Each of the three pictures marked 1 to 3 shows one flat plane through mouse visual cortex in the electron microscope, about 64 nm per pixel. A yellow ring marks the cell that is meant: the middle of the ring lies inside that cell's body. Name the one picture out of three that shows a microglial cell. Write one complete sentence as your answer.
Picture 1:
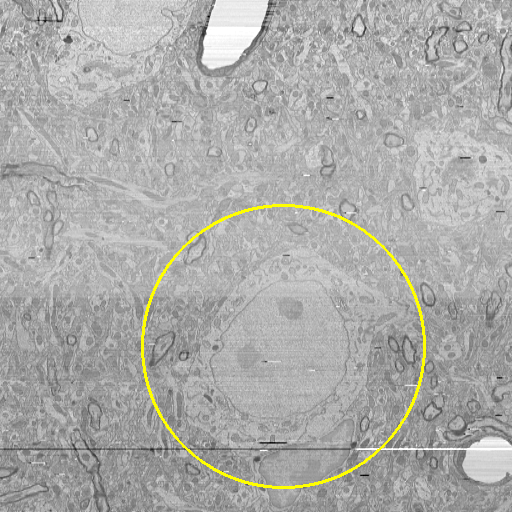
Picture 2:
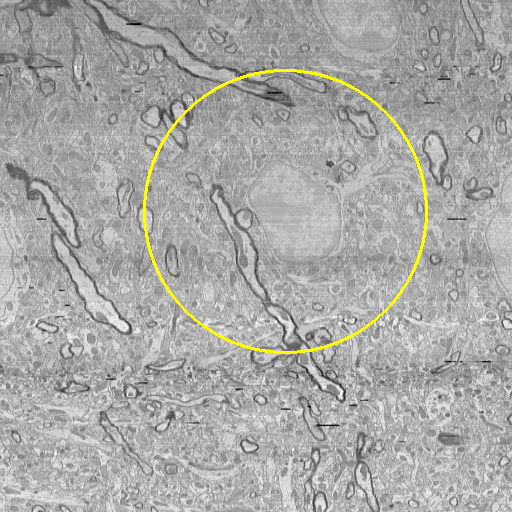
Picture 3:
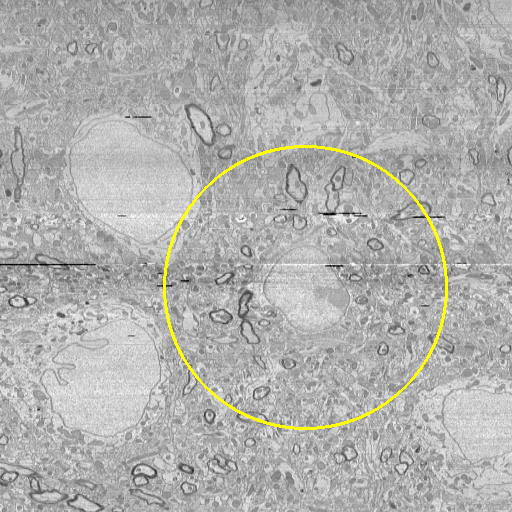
Picture 2 is the one that shows the microglial cell.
